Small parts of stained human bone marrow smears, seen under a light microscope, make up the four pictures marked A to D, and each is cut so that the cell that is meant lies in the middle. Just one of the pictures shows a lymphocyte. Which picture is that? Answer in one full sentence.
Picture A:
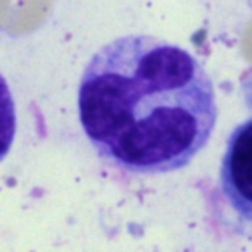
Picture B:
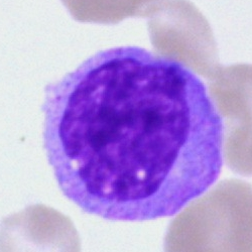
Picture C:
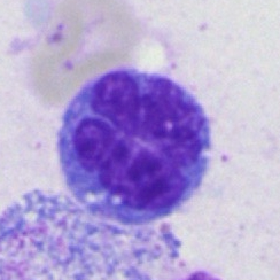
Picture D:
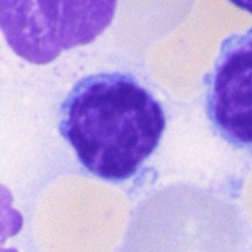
The cell in picture D is the lymphocyte.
